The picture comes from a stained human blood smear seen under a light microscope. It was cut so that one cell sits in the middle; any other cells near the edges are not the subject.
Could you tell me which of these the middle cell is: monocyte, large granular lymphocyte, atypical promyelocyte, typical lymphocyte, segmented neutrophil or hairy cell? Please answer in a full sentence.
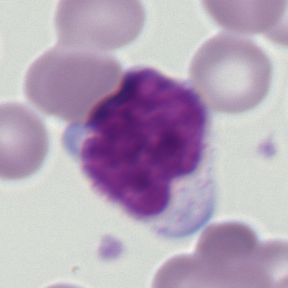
The cell at the centre of the field is a large granular lymphocyte.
